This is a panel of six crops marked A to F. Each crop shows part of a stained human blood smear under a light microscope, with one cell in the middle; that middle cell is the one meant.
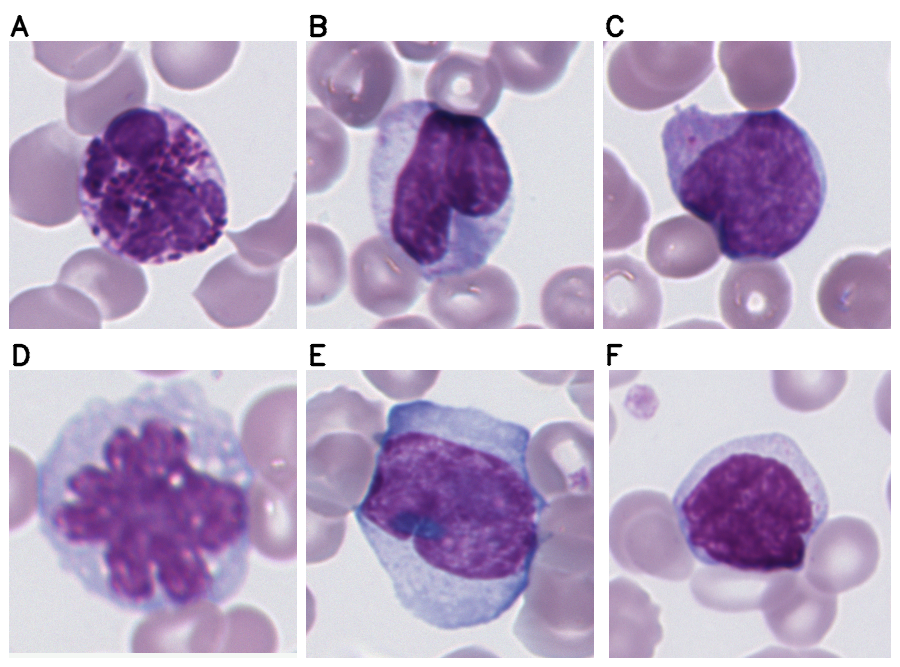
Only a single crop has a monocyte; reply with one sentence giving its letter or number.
The crop marked D is the one that shows a monocyte.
